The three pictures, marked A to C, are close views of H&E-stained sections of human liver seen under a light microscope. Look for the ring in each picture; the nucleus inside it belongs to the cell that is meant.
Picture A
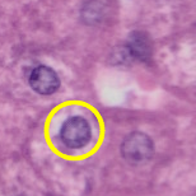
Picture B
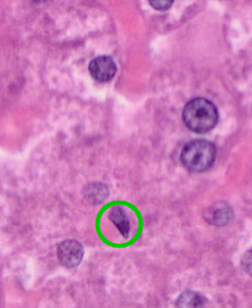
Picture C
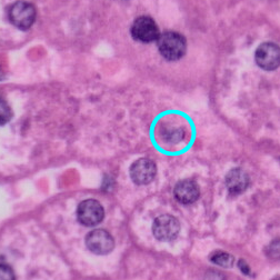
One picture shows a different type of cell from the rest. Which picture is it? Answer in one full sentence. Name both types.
Picture A is the odd one out: it shows a hepatocyte, while the others show endothelial cells.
